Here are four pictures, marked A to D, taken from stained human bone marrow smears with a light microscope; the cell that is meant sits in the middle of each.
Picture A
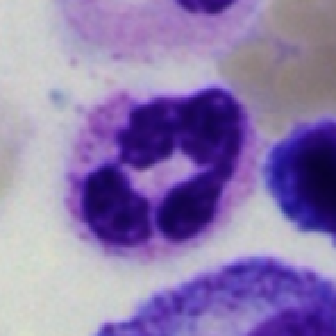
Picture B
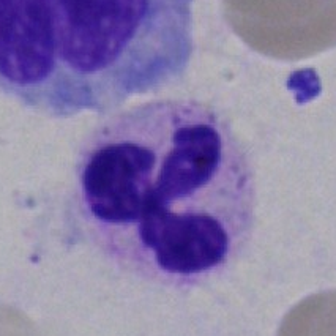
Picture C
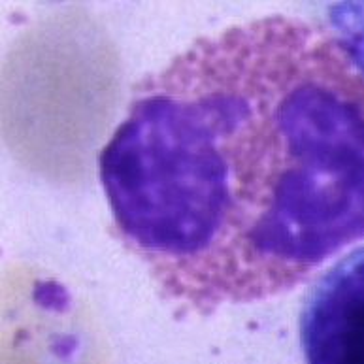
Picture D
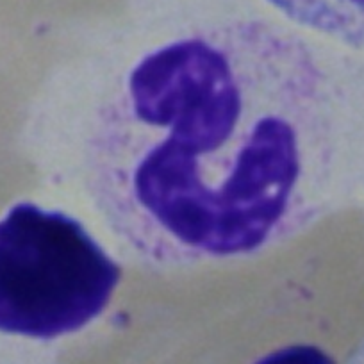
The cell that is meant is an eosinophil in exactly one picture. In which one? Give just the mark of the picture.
C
